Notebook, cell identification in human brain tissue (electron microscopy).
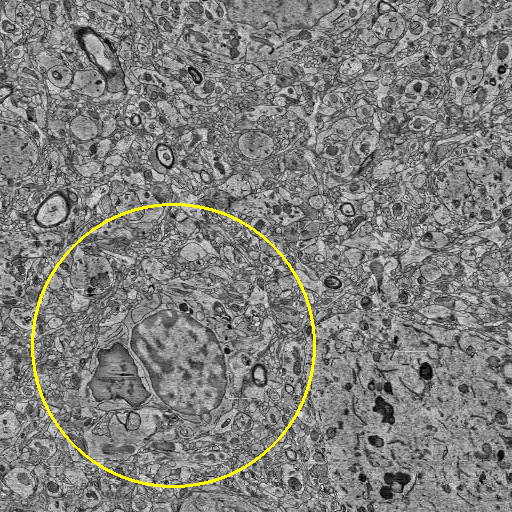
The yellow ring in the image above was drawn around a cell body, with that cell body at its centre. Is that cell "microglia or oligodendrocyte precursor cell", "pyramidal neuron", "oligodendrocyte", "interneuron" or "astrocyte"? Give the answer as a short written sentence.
The cell in the ring is a microglial cell or oligodendrocyte precursor cell.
